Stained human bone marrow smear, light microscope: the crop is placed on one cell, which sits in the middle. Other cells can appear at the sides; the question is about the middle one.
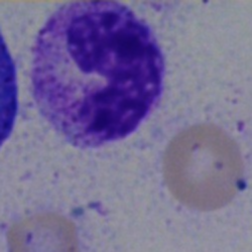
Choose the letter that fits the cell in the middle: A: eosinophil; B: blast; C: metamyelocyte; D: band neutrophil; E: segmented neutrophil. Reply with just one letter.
D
